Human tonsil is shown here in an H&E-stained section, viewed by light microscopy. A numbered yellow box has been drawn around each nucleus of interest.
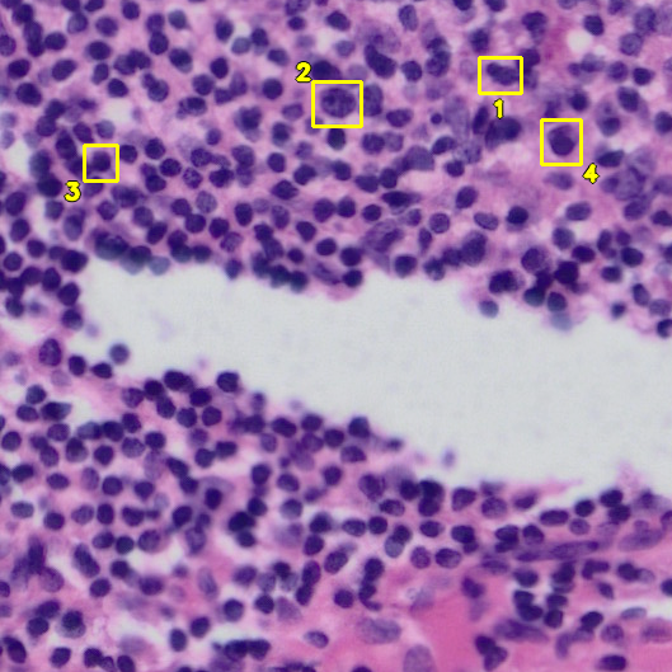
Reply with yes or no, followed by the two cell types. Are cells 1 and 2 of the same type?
Yes, cell 1 is among the proliferating B cells, and cell 2 is as well.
